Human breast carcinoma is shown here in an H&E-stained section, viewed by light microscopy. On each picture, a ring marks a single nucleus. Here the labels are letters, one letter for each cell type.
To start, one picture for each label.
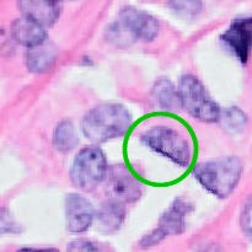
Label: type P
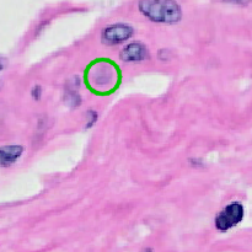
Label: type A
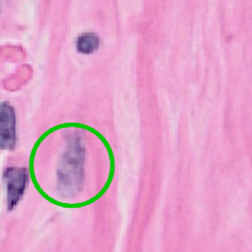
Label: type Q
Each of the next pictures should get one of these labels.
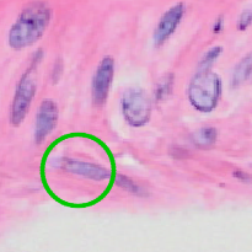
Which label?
type A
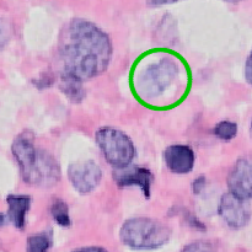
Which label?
type P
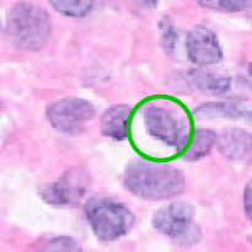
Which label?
type P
